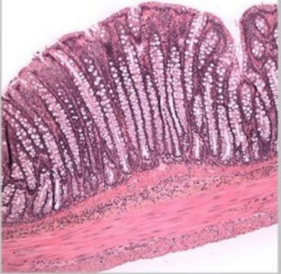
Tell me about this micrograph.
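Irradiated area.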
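Colonic mucosa with long, straight, closely packed crypts standing parallel to one another. The crypts are lined by columnar epithelium with many pale goblet cells and dark basal nuclei, over a thin muscularis mucosae, submucosa and pink muscle layer.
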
